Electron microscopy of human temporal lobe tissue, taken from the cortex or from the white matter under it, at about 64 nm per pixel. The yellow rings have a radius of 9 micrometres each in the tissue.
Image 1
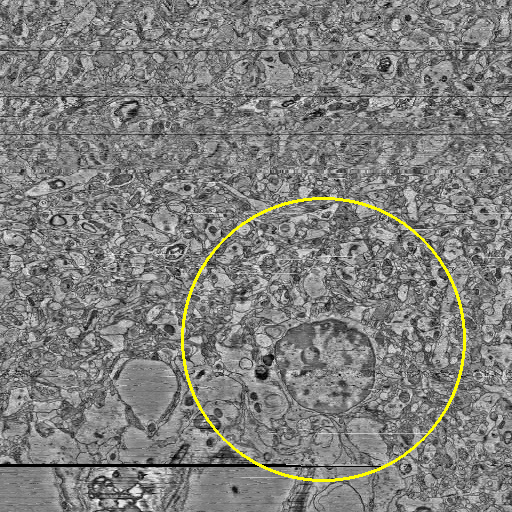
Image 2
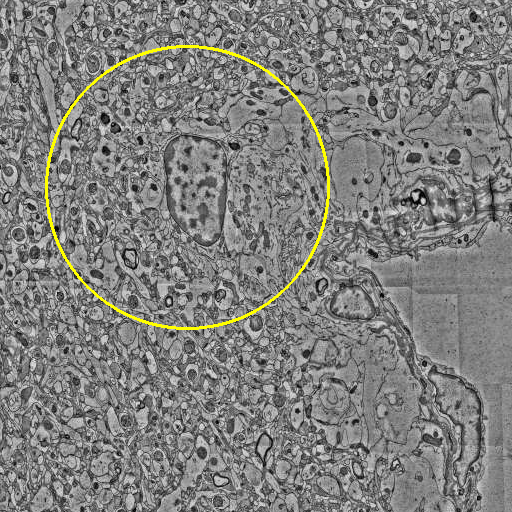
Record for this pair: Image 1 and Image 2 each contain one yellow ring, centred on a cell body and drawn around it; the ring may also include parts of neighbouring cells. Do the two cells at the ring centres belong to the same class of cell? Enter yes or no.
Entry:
yes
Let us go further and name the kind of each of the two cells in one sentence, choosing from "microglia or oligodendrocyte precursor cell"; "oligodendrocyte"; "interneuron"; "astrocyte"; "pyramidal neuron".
The ring centre holds a microglial cell or oligodendrocyte precursor cell in each of the two pictures.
